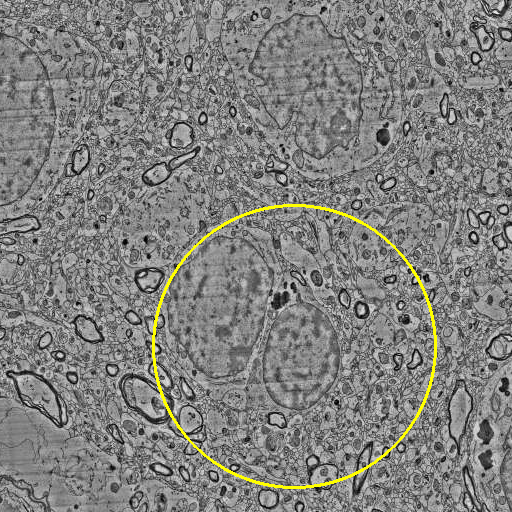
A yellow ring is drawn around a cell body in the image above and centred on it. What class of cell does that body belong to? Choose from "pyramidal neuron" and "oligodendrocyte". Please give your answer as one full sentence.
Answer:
The yellow ring above is centred on the cell body of an oligodendrocyte.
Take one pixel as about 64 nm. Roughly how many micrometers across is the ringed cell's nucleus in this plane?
Roughly 7 by 5 micrometres is the size of the nucleus in this plane.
